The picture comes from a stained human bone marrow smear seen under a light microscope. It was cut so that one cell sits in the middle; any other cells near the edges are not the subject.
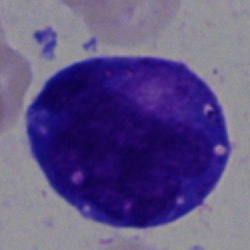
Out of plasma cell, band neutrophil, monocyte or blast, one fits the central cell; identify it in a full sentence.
The crop's centre is taken up by a blast.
